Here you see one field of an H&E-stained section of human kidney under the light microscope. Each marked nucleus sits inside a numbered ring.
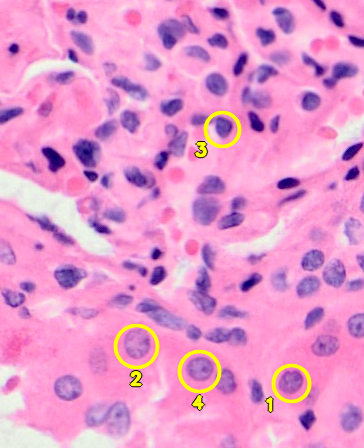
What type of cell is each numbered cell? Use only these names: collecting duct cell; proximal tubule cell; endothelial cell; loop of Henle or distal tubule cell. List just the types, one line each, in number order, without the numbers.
proximal tubule cell
proximal tubule cell
endothelial cell
proximal tubule cell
